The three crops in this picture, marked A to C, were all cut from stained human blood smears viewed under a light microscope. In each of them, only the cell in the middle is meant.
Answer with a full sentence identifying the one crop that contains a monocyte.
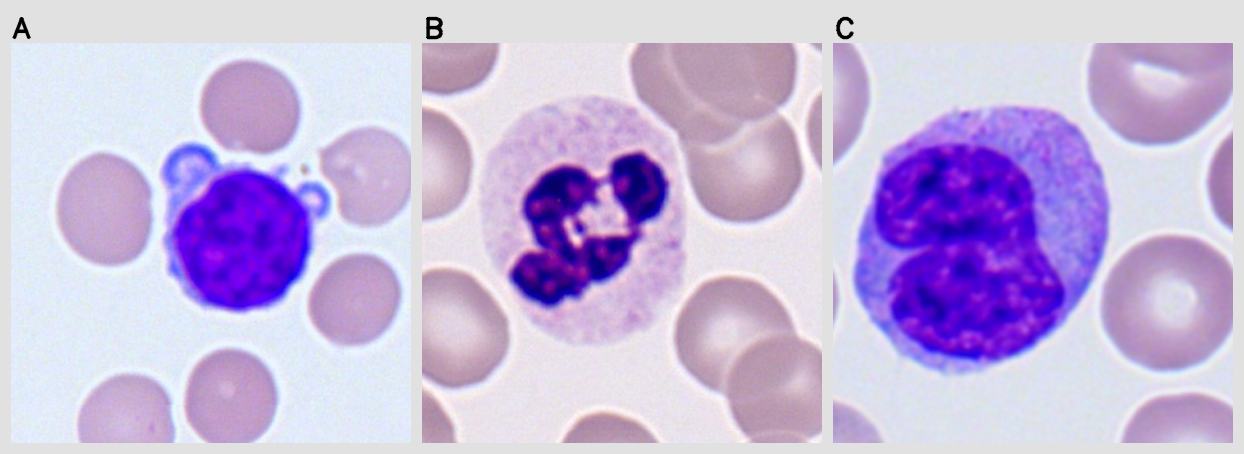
Here the crop that shows a monocyte is crop C.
